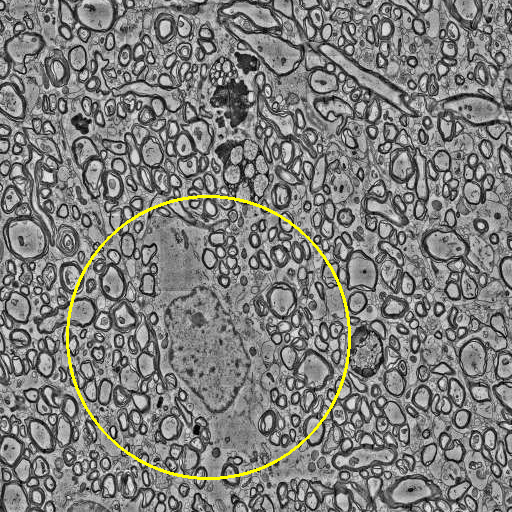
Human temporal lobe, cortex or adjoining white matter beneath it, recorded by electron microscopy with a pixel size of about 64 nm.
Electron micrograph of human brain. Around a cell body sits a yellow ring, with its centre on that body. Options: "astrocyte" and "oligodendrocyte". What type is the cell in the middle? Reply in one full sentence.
The cell sitting at the centre of the yellow ring is an astrocyte.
